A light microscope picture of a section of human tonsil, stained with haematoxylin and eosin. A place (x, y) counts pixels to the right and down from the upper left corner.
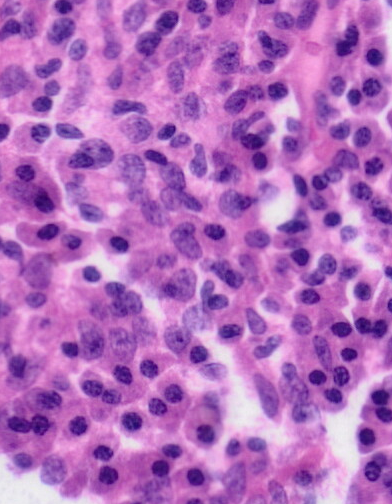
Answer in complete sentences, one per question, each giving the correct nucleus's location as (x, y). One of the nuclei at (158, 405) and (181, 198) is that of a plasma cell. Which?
Only the nucleus at (158, 405), of the two, belongs to a plasma cell.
